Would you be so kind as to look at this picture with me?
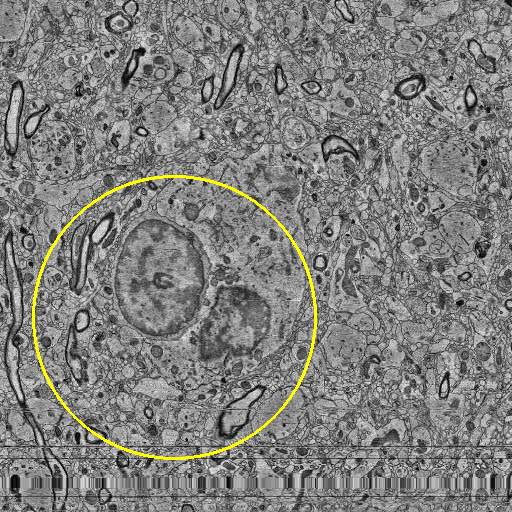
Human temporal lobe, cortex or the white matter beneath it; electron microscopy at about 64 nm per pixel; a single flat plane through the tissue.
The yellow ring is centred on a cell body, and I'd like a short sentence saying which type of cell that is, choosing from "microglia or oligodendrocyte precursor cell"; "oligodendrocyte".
The cell body in the ring belongs to an oligodendrocyte.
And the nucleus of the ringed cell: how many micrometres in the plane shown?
The nucleus works out at approximately 8 by 6 micrometres in this plane.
